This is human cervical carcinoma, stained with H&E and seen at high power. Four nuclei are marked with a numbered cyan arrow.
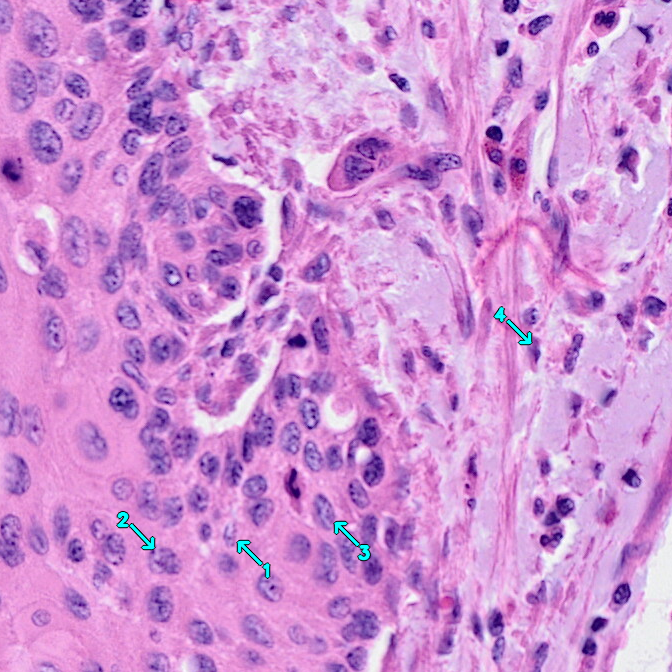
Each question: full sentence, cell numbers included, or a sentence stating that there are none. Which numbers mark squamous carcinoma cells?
The identity of cells 1, 2 and 3: they are squamous carcinoma cells.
